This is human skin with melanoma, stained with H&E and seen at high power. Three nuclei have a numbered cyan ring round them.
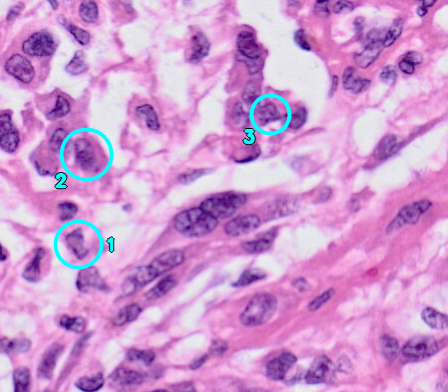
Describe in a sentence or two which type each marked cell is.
Cell 1 is a macrophage or monocyte. Cells 2 and 3 are melanoma cells.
